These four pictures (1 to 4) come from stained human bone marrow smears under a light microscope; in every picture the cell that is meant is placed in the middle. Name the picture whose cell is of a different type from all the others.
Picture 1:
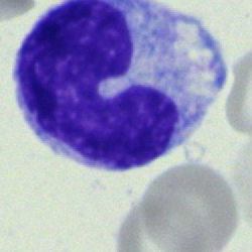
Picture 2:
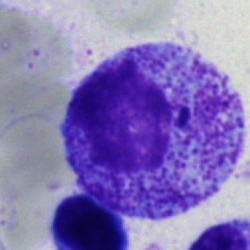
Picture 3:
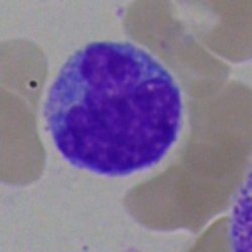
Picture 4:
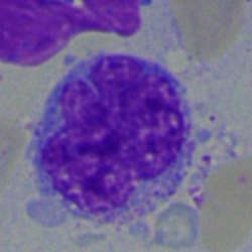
2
